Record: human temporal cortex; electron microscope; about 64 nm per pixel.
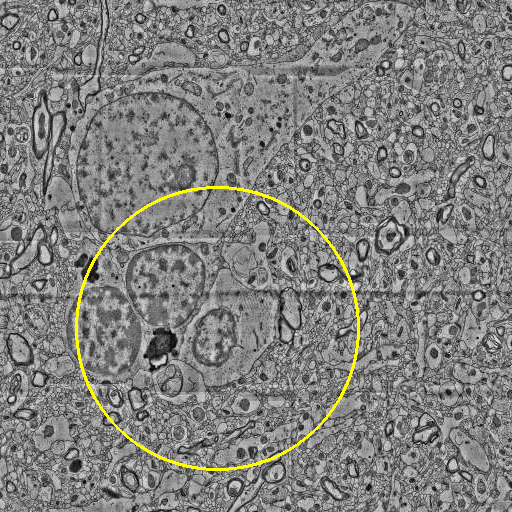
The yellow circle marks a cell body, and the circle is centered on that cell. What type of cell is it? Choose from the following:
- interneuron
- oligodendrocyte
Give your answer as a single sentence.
This cell body belongs to an interneuron.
